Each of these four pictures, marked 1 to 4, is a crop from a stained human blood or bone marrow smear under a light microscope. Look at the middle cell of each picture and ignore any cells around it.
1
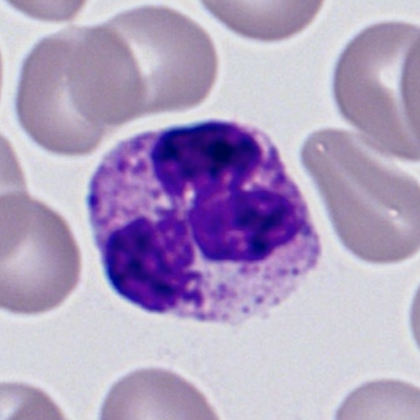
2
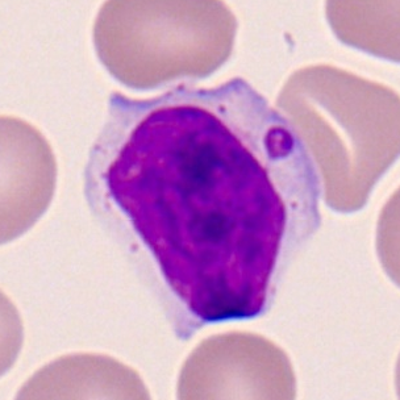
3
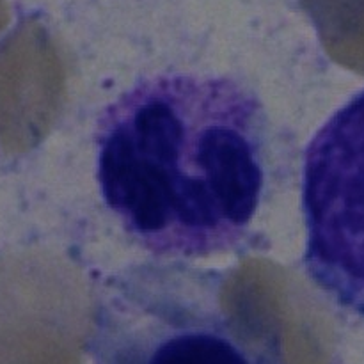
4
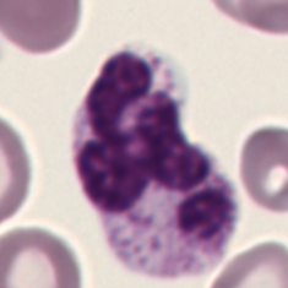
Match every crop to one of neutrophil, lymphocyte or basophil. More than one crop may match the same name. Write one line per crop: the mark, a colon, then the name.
1: basophil
2: lymphocyte
3: basophil
4: neutrophil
